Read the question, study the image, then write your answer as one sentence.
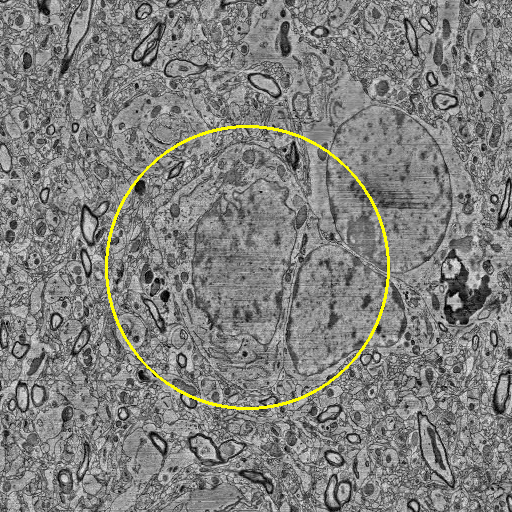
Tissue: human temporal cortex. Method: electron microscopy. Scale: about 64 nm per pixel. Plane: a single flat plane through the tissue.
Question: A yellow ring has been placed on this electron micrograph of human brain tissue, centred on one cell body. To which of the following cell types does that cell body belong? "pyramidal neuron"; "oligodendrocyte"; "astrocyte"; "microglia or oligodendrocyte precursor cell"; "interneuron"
That cell body belongs to an interneuron.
